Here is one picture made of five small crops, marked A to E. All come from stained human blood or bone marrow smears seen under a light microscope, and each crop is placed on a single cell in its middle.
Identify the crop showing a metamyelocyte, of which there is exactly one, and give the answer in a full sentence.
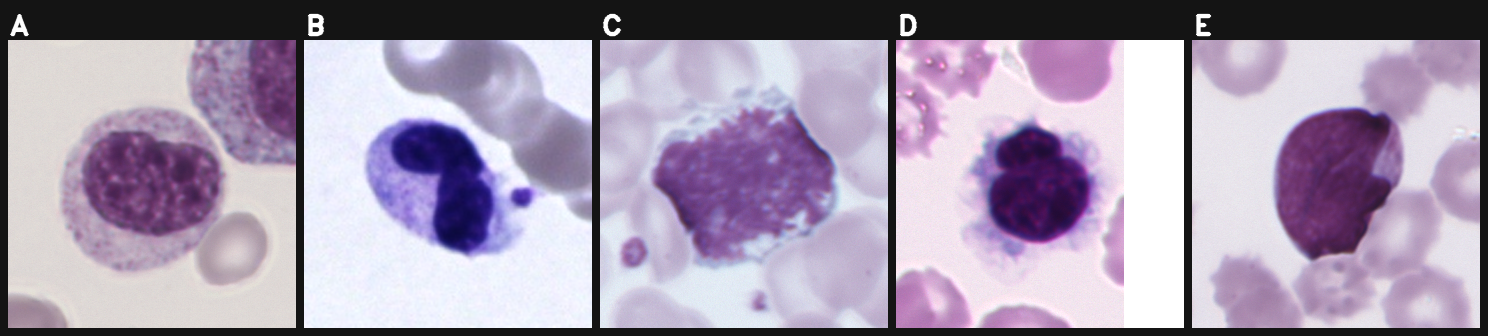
Among the crops, only crop A contains a metamyelocyte.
